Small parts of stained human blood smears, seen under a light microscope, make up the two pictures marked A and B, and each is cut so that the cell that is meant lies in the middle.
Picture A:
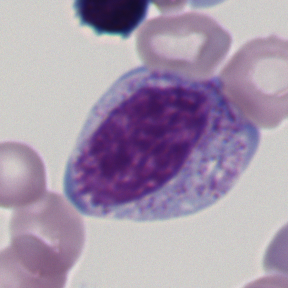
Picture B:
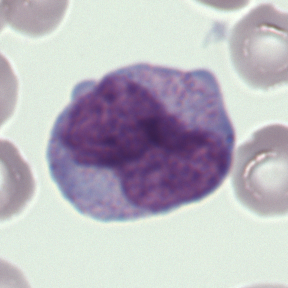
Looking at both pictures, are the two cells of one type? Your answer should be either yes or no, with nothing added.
no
